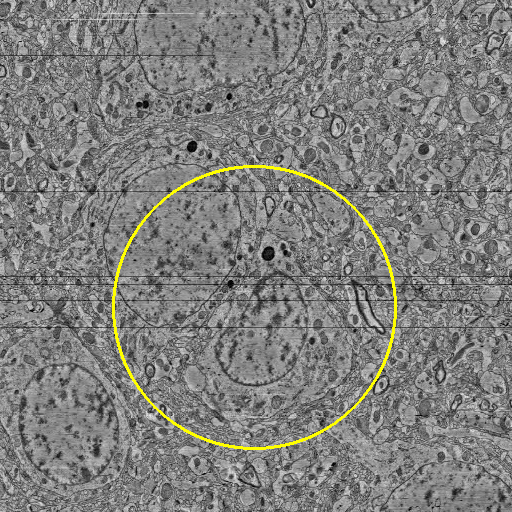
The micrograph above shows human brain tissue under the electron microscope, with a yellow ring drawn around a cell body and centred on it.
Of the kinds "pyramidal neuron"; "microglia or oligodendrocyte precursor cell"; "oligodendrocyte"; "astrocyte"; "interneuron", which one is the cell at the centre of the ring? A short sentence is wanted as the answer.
The one at the centre of the ring is a pyramidal neuron.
